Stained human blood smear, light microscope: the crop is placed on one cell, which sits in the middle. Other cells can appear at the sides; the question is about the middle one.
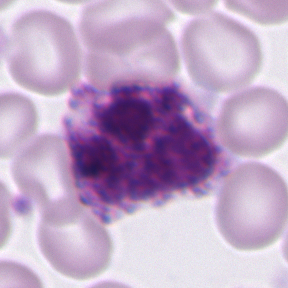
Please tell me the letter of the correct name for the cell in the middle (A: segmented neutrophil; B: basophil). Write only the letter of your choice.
B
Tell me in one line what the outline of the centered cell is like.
Along the periphery, ragged stretches or projections make the outline irregular.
